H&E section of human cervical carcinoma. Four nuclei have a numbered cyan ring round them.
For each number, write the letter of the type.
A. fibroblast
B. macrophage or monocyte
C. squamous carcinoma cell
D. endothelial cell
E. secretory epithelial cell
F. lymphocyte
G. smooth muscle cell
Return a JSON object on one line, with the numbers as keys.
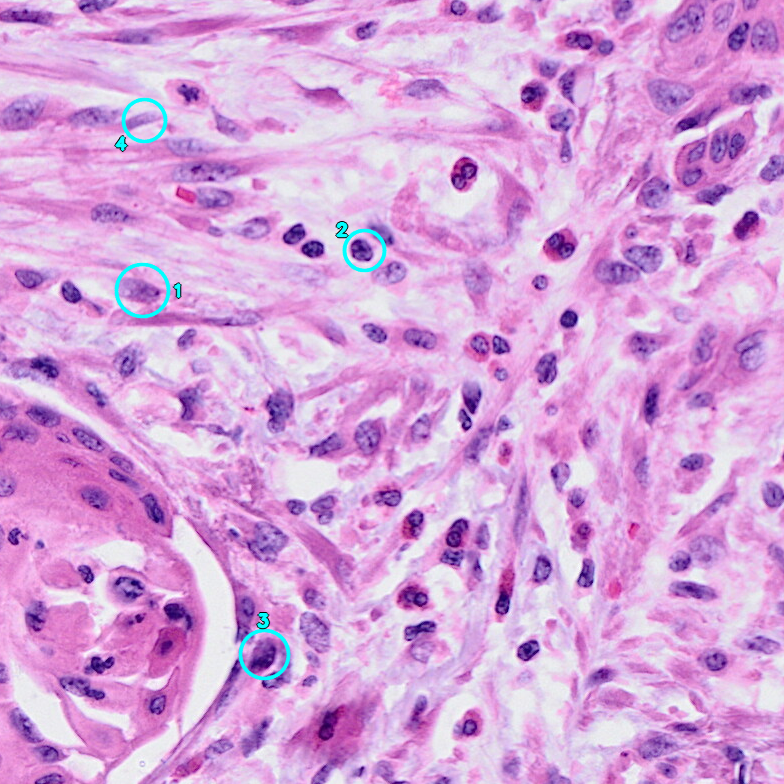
{"1": "A", "2": "F", "3": "B", "4": "A"}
